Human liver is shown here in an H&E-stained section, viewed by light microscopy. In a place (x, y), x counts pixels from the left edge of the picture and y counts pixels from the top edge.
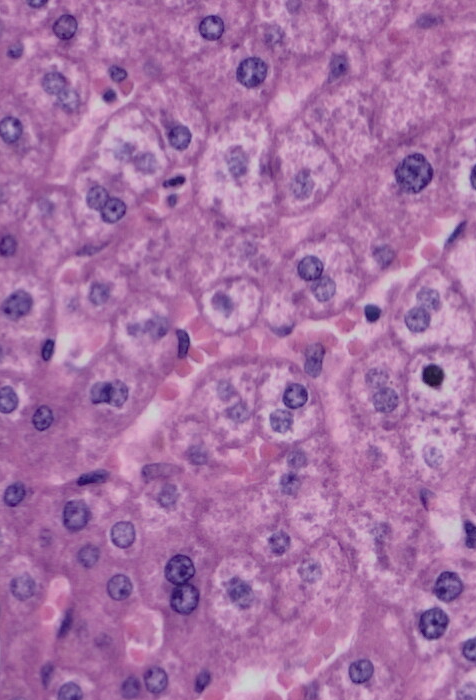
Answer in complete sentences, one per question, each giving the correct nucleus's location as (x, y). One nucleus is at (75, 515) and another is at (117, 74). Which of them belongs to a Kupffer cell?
The nucleus at (117, 74), rather than the other one, belongs to a Kupffer cell.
